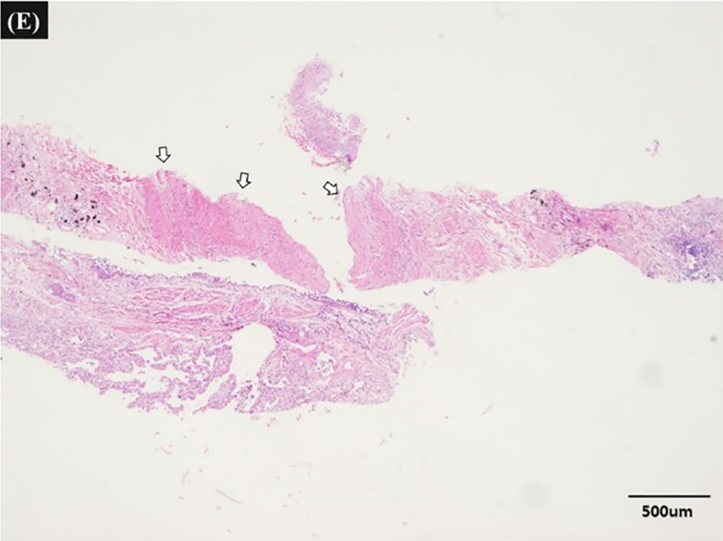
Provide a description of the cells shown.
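At low magnification, several elongated fragments of a needle-biopsy core of lung lie across a pale background. The upper strip contains a segment of dense, homogeneous, deep-pink fibromuscular tissue forming a thick wall. To one side of it, scattered black granules of pigment lie in the tissue. Toward the right end of the strip, the tissue becomes more cellular and purple. The lower strip is looser and paler pink-purple, with small clefts and a rounded space. Its edge shows more cellular, bluish tissue.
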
